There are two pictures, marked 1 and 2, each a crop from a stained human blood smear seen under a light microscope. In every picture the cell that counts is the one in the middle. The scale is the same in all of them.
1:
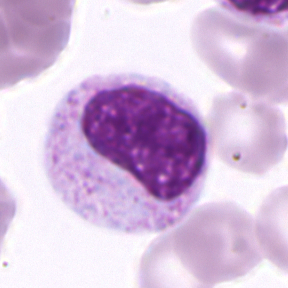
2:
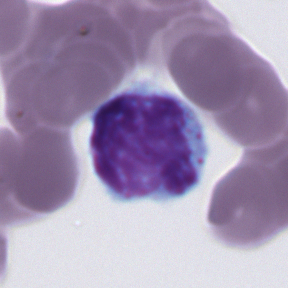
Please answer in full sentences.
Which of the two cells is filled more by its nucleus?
Of the two, the nucleus in picture 2 makes up the greater part of its cell.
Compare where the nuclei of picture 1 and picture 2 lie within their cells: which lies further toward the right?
The nucleus in picture 1 lies further toward the right of its cell.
